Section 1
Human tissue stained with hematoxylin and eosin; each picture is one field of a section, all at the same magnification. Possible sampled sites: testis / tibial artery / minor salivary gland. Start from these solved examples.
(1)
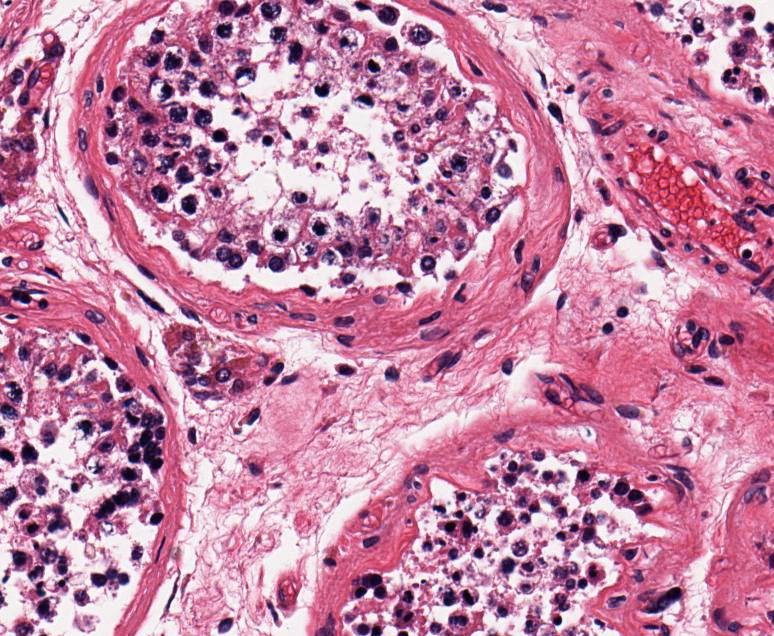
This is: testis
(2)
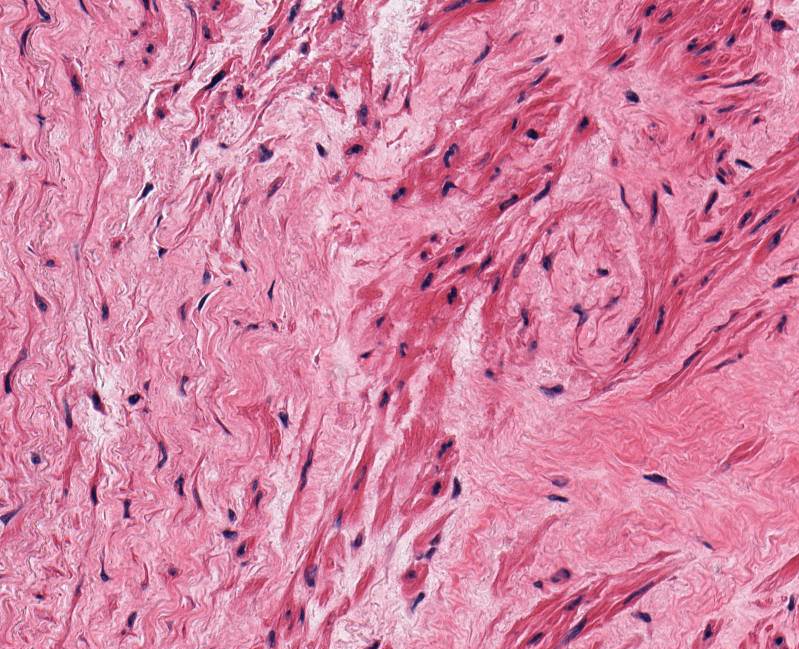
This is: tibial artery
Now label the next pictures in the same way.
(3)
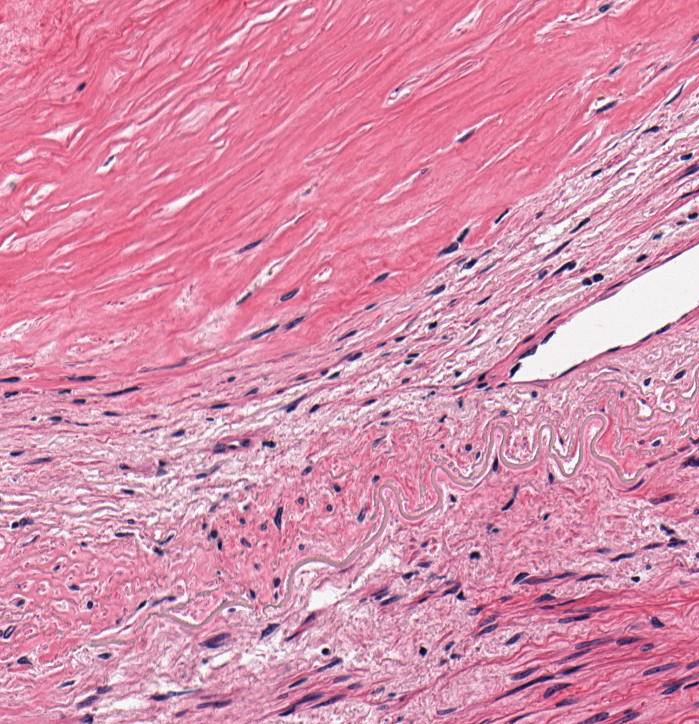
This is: tibial artery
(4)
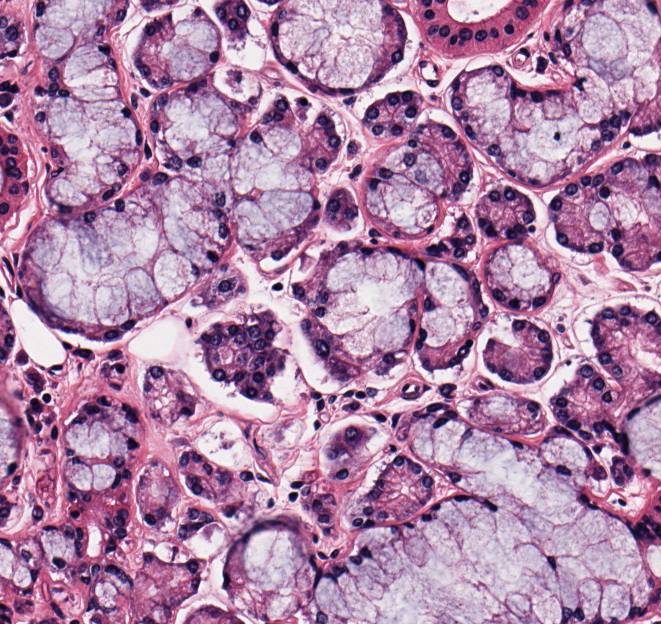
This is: minor salivary gland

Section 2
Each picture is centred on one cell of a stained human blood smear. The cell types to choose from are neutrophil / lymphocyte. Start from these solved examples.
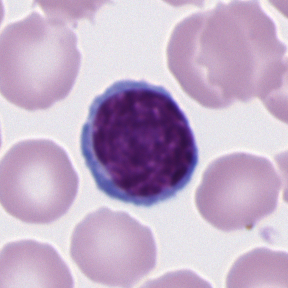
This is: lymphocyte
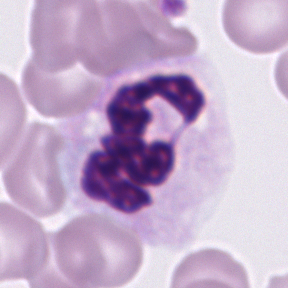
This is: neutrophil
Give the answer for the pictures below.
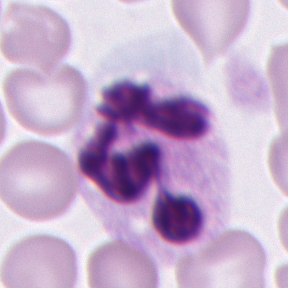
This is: neutrophil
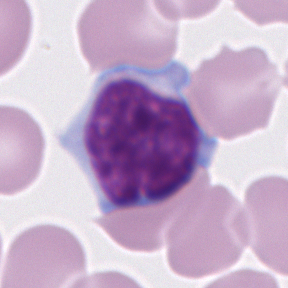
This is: lymphocyte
